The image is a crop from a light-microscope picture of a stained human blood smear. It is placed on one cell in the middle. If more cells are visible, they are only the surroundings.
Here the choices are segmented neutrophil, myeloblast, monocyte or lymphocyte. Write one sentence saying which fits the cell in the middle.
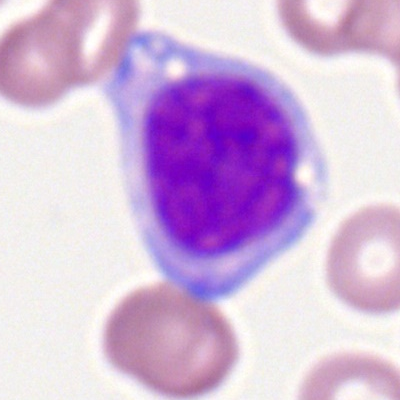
Within this crop, a monocyte occupies the central position.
